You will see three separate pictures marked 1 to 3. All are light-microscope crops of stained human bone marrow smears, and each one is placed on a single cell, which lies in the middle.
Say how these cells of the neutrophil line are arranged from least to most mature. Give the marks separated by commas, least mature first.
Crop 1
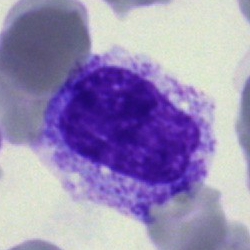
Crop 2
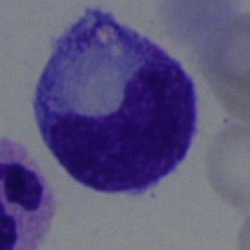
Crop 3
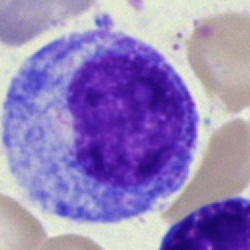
3, 1, 2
